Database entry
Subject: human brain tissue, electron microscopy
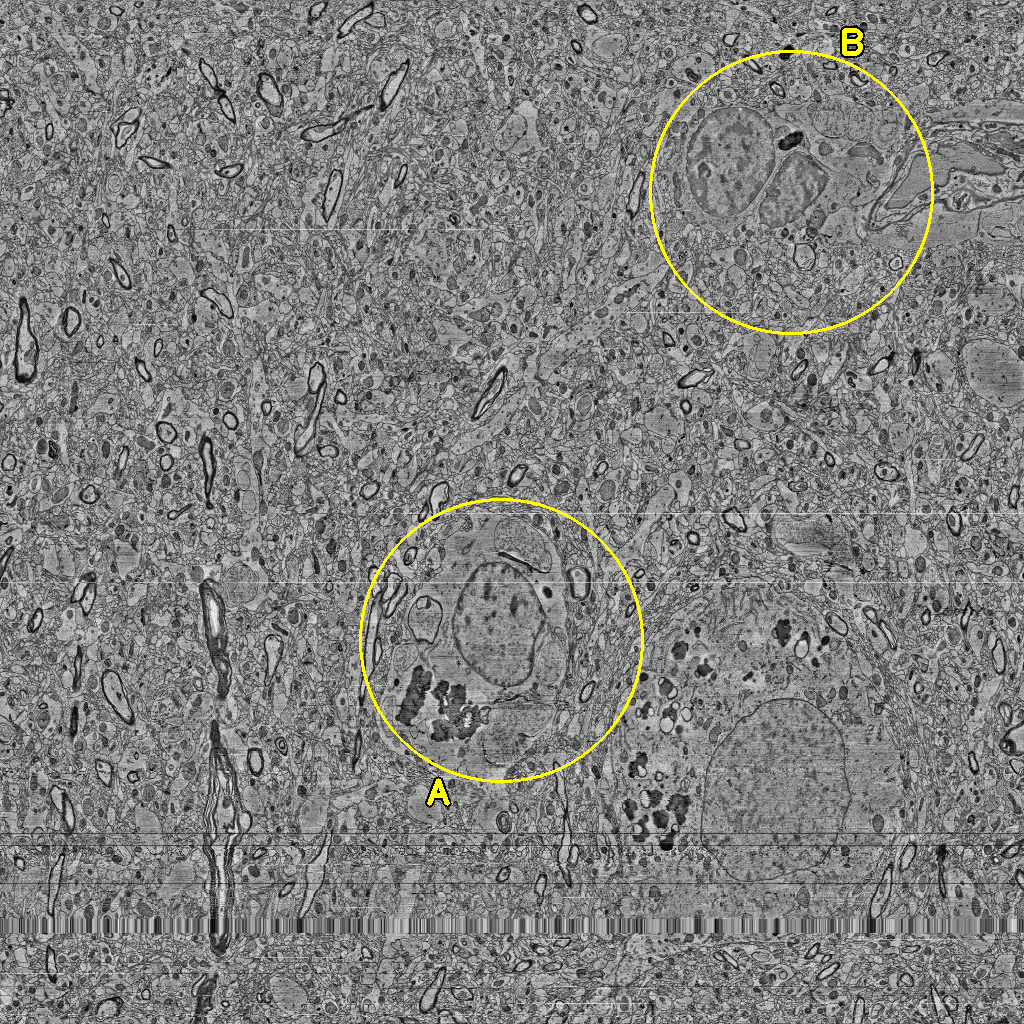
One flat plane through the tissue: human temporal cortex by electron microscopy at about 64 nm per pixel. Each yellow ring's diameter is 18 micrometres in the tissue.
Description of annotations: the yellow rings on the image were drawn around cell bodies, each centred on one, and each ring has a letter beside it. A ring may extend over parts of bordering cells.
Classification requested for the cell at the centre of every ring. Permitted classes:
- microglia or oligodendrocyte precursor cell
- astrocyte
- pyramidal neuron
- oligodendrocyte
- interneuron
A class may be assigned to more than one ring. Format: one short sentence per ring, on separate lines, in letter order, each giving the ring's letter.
The cell body at the centre of ring A is an astrocyte.
The cell body at the centre of ring B is an oligodendrocyte.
